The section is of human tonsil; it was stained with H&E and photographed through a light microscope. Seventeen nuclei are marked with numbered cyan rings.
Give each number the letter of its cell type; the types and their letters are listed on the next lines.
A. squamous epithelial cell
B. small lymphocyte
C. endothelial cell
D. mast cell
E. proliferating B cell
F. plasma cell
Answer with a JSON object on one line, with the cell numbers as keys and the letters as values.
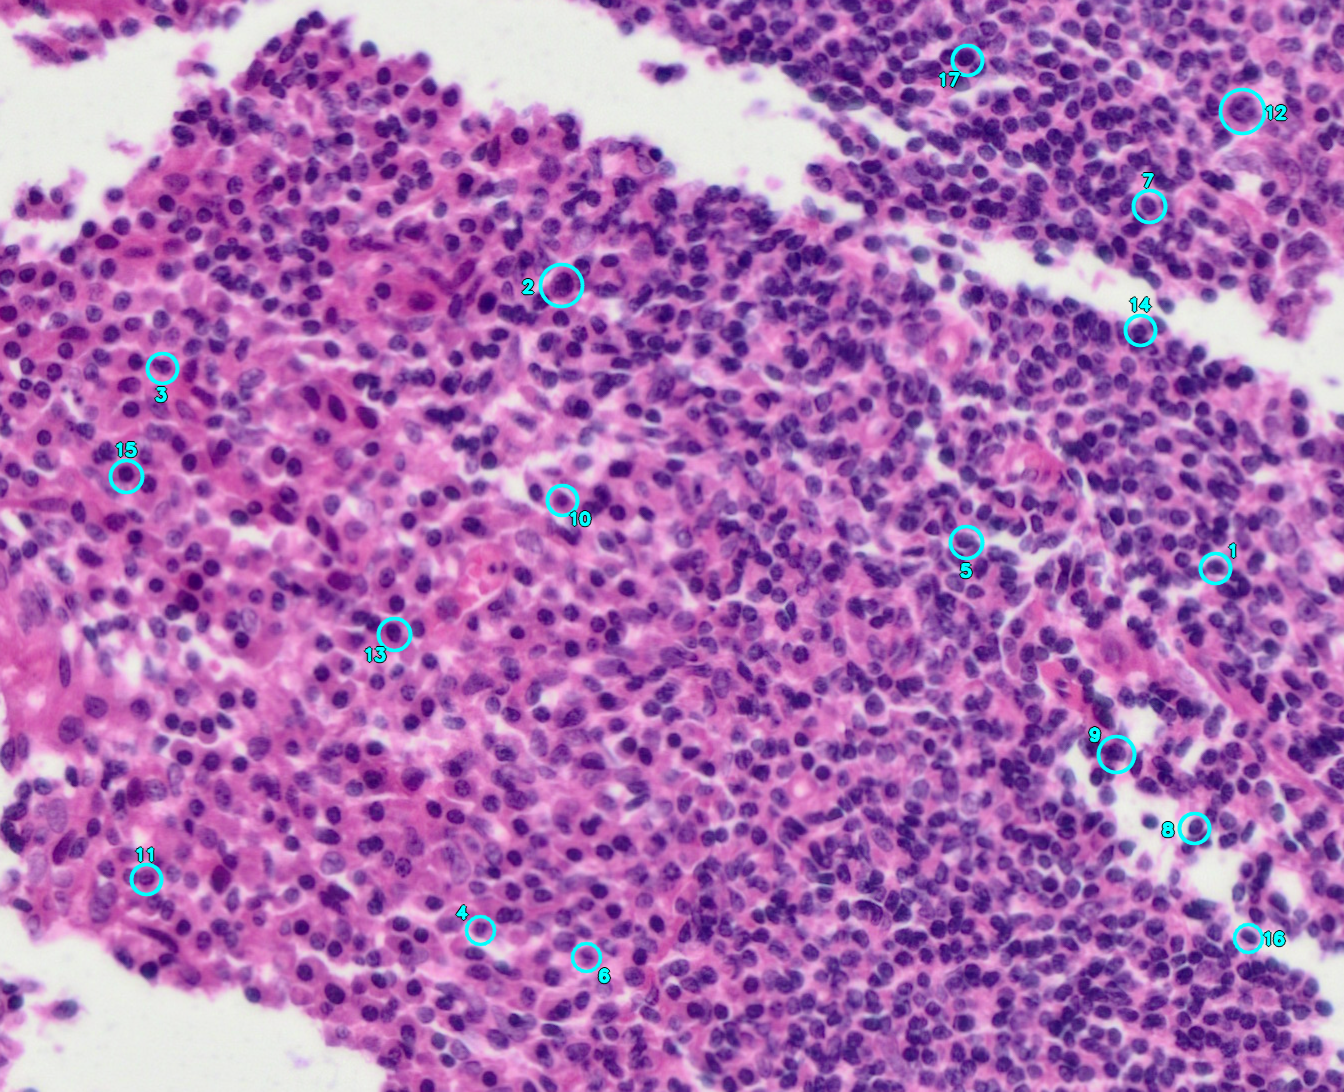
{"1": "B", "2": "F", "3": "F", "4": "F", "5": "B", "6": "F", "7": "B", "8": "B", "9": "B", "10": "F", "11": "F", "12": "E", "13": "F", "14": "B", "15": "F", "16": "B", "17": "B"}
